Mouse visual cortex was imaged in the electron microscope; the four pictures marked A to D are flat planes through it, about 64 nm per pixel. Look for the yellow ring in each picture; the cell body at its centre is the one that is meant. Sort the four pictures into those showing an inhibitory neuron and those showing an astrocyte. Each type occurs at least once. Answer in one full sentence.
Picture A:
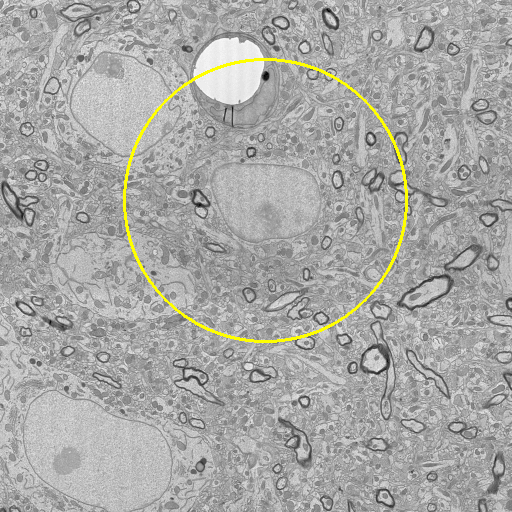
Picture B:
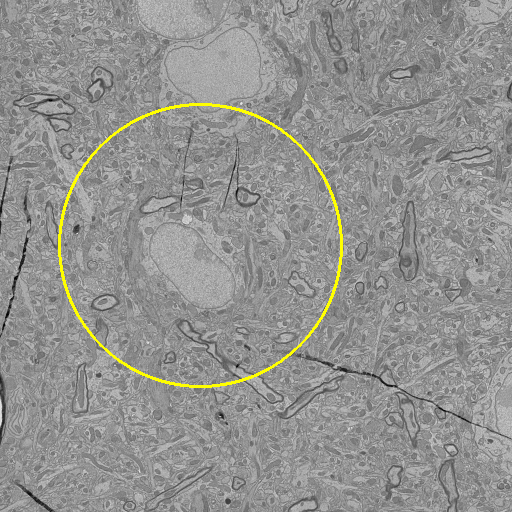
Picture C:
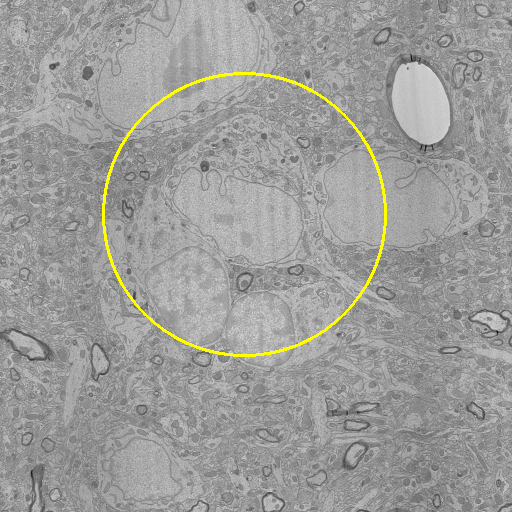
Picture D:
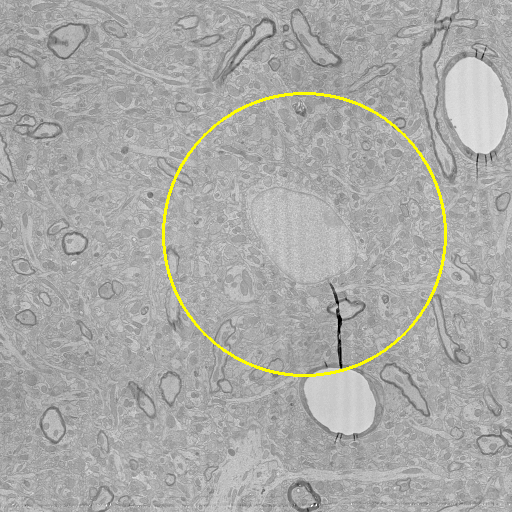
Picture C shows an inhibitory neuron, and pictures A, B and D show astrocytes.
